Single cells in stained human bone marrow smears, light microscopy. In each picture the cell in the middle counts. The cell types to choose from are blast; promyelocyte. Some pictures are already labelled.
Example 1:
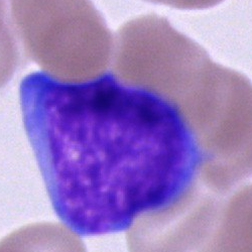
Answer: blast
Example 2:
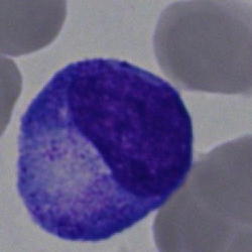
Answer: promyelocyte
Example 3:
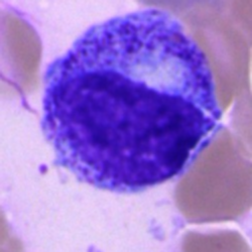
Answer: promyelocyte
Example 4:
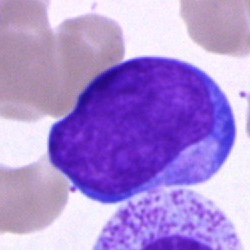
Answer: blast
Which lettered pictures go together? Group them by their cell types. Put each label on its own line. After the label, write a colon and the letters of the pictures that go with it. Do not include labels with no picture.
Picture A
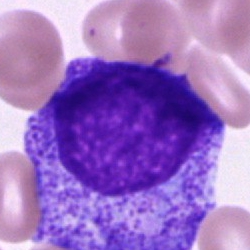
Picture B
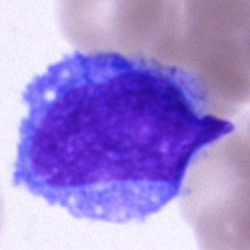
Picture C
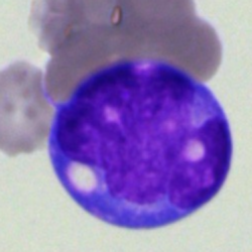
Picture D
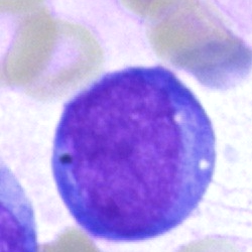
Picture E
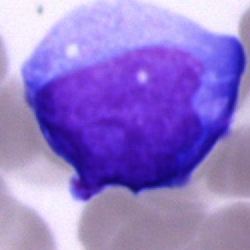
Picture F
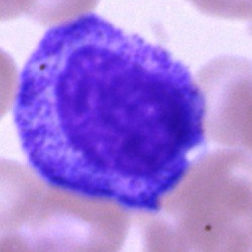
blast: B, C, D, E
promyelocyte: A, F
